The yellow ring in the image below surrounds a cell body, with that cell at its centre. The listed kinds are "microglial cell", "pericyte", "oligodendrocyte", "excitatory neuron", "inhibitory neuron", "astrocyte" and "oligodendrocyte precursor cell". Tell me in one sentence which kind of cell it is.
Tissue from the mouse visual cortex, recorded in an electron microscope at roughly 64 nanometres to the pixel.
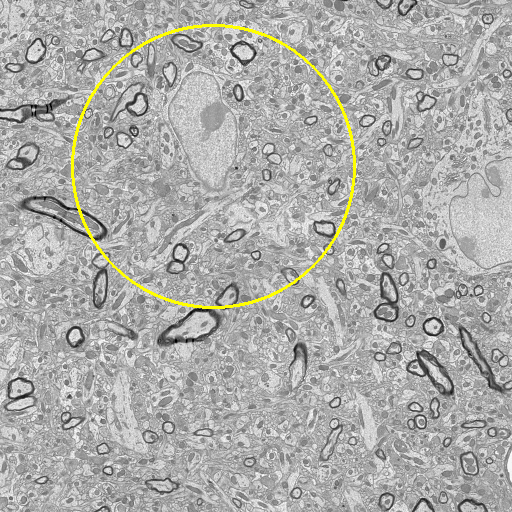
The centre of the ring holds an oligodendrocyte precursor cell.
